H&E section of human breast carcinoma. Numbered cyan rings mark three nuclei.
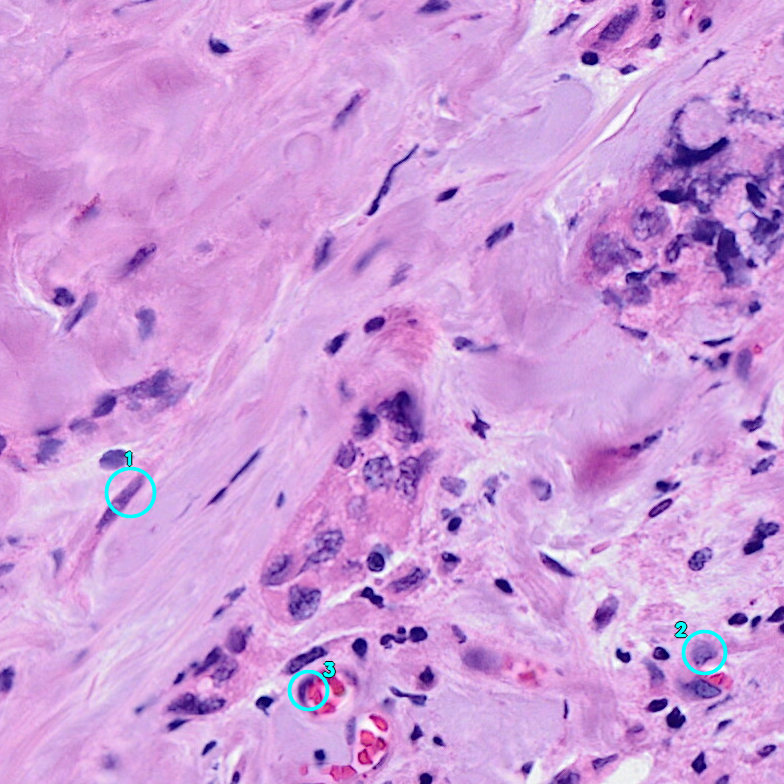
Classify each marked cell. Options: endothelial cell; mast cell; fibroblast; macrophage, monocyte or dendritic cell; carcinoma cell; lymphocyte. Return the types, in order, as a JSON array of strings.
["fibroblast", "endothelial cell", "endothelial cell"]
